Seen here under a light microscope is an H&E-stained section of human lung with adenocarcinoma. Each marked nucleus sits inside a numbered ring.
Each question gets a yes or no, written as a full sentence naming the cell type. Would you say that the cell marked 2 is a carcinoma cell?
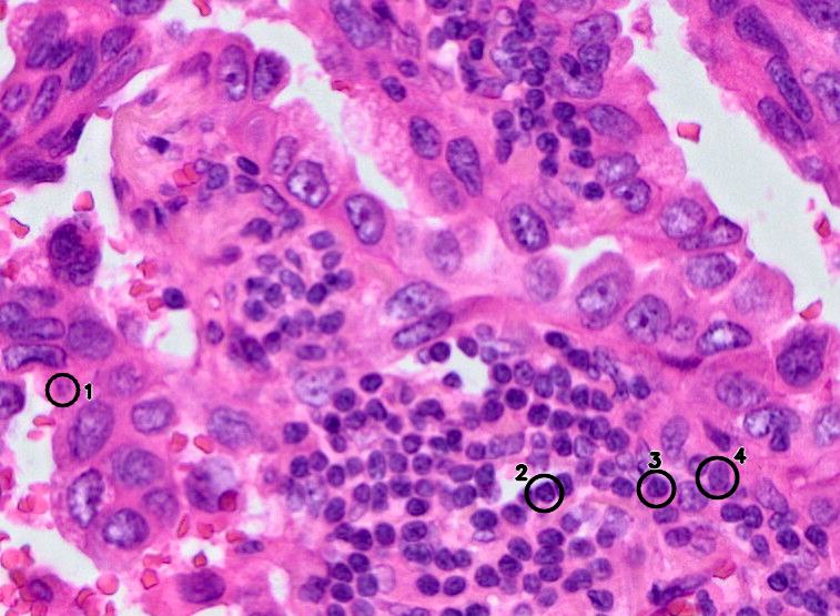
No, the cell indicated by 2 is a lymphocyte instead of a carcinoma cell.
